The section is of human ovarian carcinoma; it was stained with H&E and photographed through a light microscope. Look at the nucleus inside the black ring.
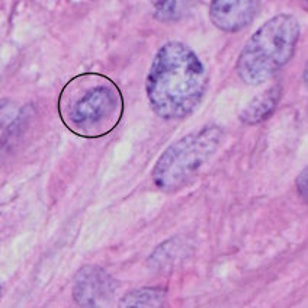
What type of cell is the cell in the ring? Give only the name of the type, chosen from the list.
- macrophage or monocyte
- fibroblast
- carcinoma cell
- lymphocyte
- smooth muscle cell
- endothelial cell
fibroblast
